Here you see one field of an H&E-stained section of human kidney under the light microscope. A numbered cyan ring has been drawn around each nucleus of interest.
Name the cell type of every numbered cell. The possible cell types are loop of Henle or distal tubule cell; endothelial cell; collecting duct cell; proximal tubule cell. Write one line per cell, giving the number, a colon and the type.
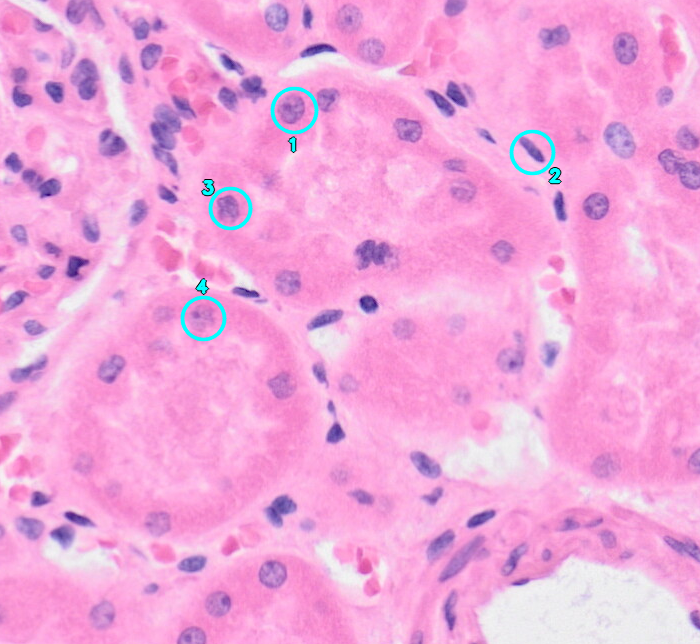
1: proximal tubule cell
2: endothelial cell
3: proximal tubule cell
4: proximal tubule cell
